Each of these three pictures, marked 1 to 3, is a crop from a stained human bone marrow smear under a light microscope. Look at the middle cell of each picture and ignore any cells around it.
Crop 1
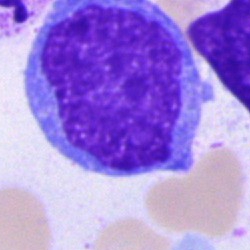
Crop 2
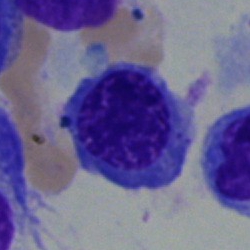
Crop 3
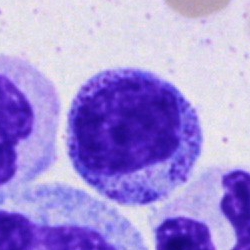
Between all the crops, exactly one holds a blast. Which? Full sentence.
Crop 1 is identified as the crop showing a blast.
